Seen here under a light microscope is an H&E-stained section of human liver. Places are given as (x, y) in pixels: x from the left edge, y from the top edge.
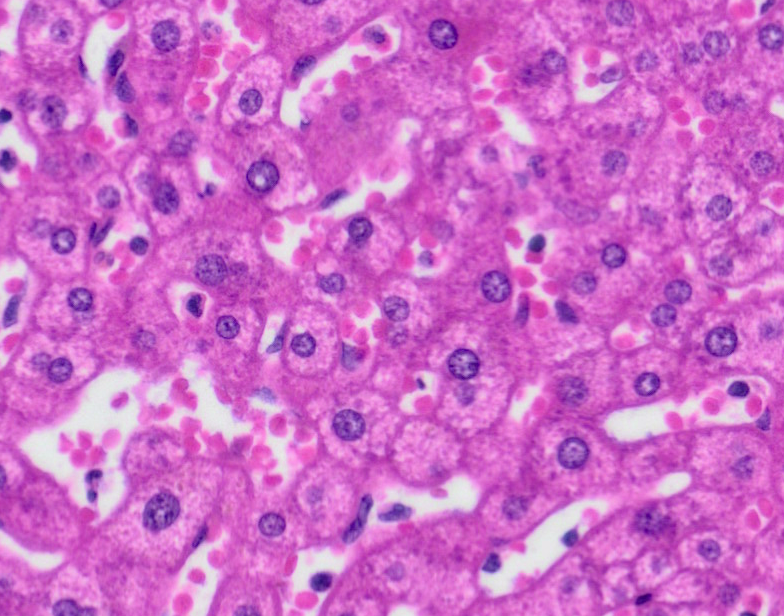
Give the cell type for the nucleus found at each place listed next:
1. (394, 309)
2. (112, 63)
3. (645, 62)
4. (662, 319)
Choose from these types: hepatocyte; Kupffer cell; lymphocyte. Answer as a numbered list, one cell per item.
1. hepatocyte
2. Kupffer cell
3. hepatocyte
4. hepatocyte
